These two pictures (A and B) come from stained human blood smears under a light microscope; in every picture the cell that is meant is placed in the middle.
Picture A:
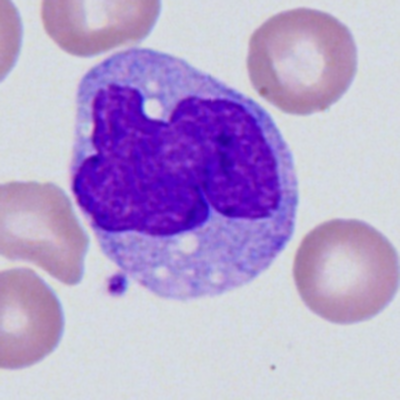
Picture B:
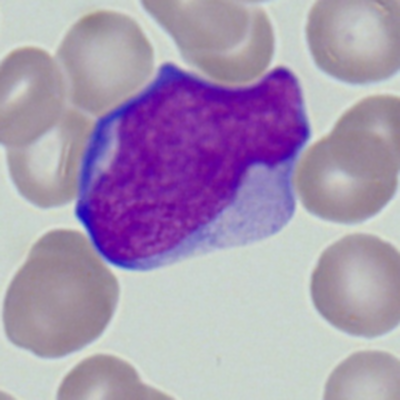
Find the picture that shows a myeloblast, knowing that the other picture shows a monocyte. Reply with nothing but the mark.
B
